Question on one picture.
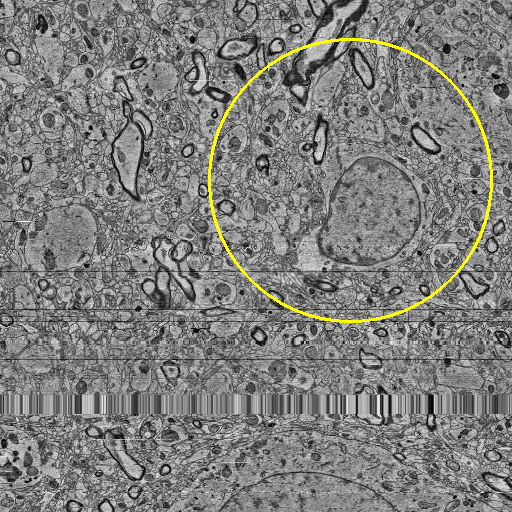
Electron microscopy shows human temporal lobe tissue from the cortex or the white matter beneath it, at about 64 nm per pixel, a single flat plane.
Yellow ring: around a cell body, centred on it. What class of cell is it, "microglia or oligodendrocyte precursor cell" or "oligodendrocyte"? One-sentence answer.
This is a microglial cell or oligodendrocyte precursor cell, the cell the ring is centred on.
